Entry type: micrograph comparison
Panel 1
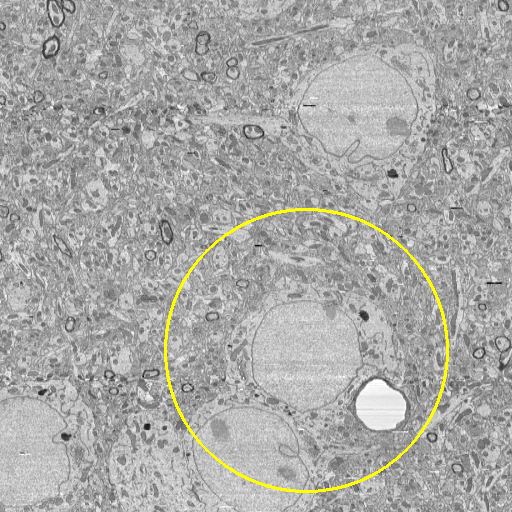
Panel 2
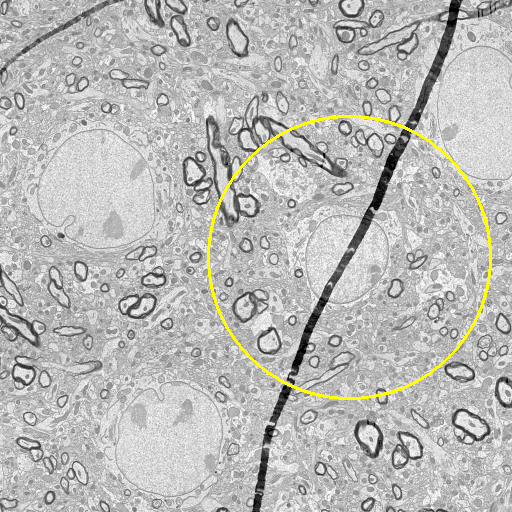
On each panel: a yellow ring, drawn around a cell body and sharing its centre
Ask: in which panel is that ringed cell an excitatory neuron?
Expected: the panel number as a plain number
1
